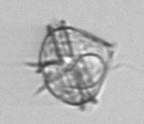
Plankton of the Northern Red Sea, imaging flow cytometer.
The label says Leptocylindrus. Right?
Wrong: this is Protoperidinium.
